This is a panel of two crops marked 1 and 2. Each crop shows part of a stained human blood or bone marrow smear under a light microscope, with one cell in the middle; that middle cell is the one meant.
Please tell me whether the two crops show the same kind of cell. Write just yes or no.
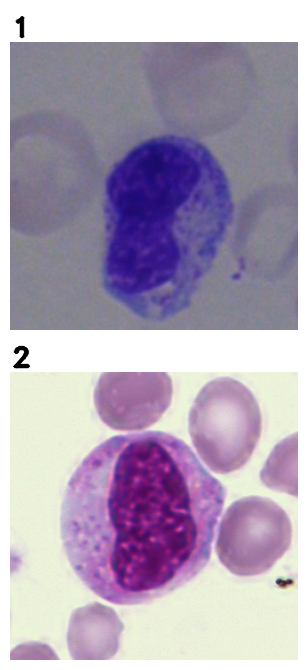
yes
